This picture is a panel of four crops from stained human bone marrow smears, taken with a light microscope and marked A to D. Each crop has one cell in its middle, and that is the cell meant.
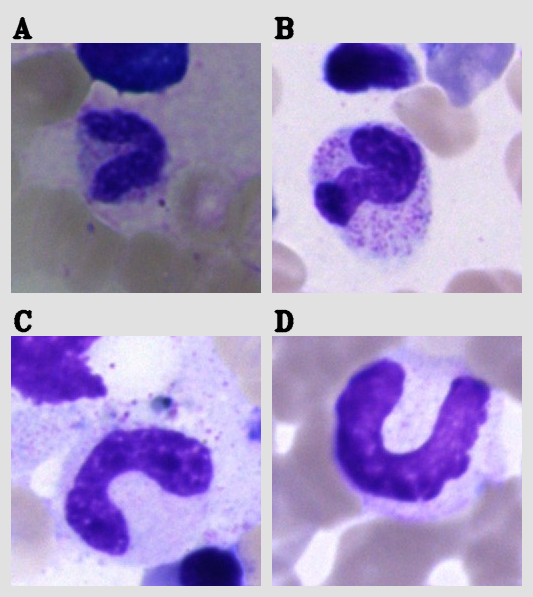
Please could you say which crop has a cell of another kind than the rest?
B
